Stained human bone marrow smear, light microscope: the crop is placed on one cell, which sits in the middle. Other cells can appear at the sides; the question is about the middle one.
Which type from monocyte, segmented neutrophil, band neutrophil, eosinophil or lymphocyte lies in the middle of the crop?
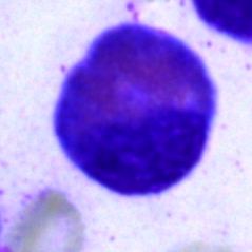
eosinophil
